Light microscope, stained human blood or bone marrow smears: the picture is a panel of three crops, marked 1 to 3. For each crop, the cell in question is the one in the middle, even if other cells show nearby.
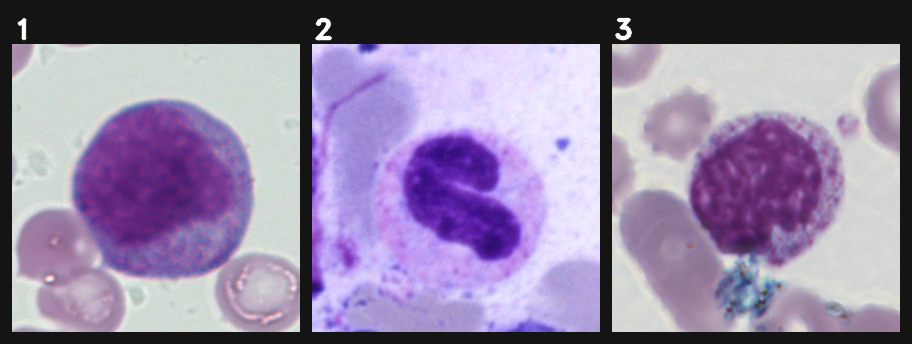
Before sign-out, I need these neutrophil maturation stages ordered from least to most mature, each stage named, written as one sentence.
The sequence in which maturity rises is crop 1 (a promyelocyte), crop 3 (a metamyelocyte) and crop 2 (a band neutrophil).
